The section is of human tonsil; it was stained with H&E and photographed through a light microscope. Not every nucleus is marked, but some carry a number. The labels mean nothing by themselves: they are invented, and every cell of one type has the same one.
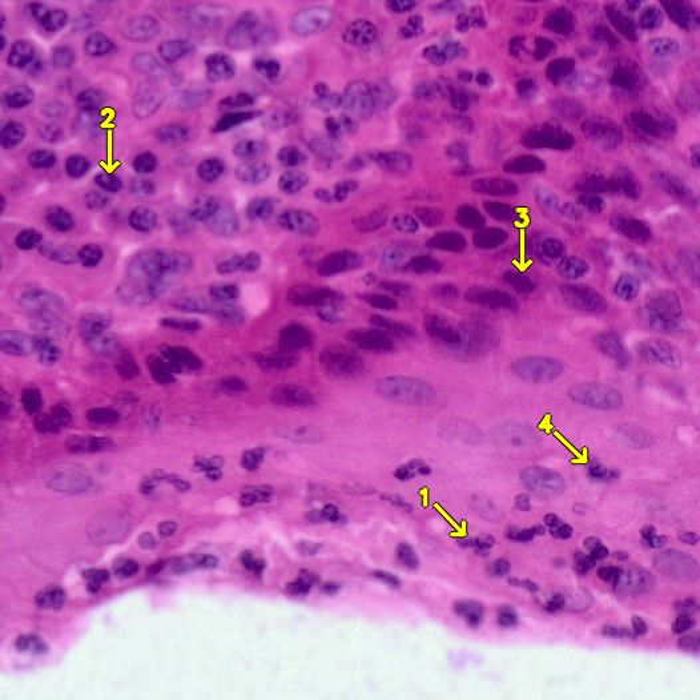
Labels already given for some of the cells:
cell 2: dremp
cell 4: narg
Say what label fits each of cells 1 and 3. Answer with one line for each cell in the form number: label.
1: narg
3: narg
